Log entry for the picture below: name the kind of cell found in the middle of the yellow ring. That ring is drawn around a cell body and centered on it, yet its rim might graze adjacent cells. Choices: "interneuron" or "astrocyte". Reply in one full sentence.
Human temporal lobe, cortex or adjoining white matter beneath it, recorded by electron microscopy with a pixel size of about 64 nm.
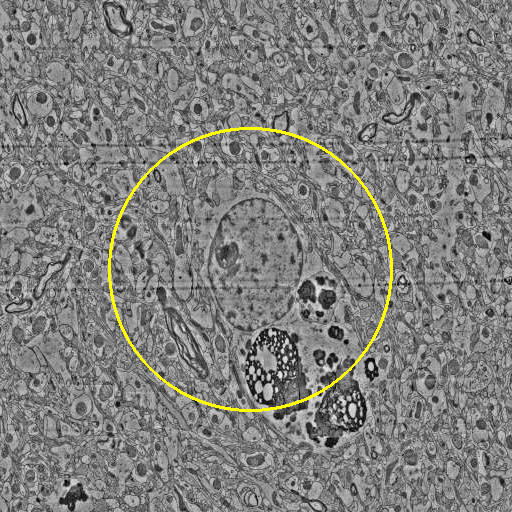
The cell in the middle of the yellow ring in this picture is an astrocyte.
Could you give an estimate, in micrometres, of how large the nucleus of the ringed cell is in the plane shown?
In this plane the nucleus measures roughly 8 by 6 micrometers.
